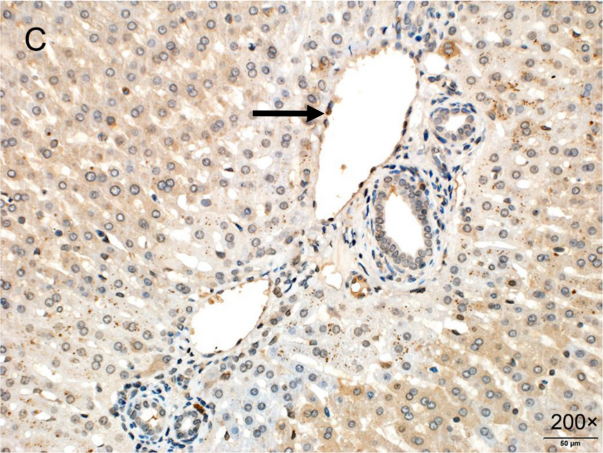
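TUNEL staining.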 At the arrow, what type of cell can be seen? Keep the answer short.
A: periportal endothelial cells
